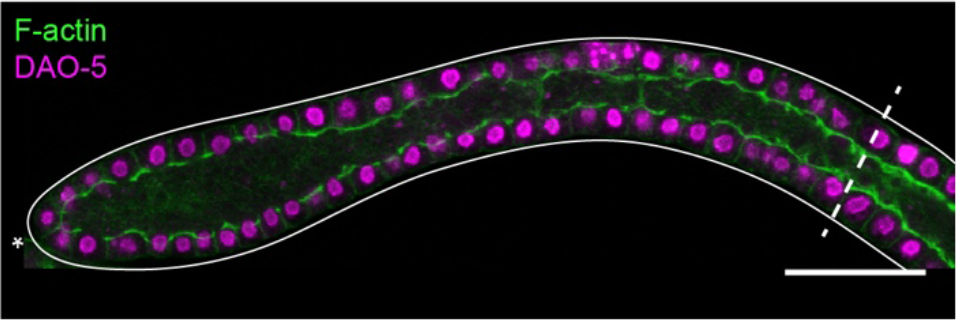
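Here the distal end of a germline tube curves gently across the field, its tip rounded on the left. Round magenta nuclei of germ cells line the wall in a neat, single row along both top and bottom edges, evenly spaced like beads. Thin green membrane lines run between neighbouring cells and along a narrow central core.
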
